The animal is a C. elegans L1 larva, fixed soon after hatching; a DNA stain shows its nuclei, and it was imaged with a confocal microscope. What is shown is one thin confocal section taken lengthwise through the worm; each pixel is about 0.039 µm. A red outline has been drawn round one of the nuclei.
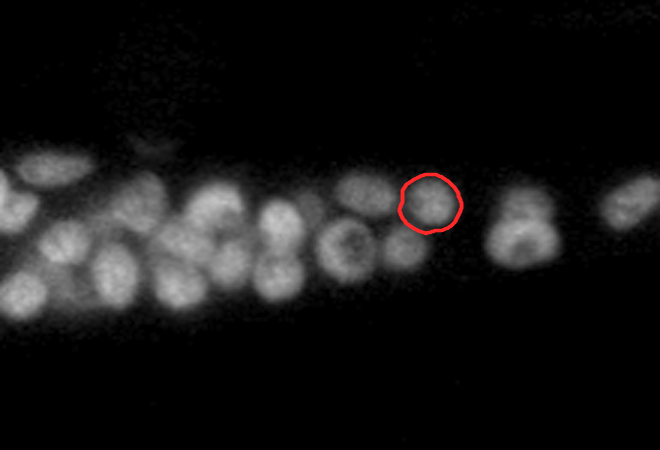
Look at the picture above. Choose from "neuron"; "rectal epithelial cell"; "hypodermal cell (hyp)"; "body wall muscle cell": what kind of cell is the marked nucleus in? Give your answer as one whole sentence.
The cell with the marked nucleus is a hypodermal cell (hyp).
